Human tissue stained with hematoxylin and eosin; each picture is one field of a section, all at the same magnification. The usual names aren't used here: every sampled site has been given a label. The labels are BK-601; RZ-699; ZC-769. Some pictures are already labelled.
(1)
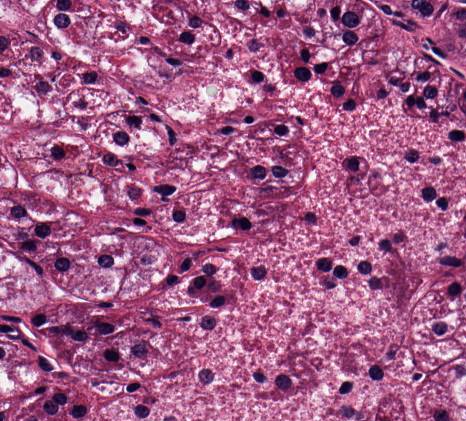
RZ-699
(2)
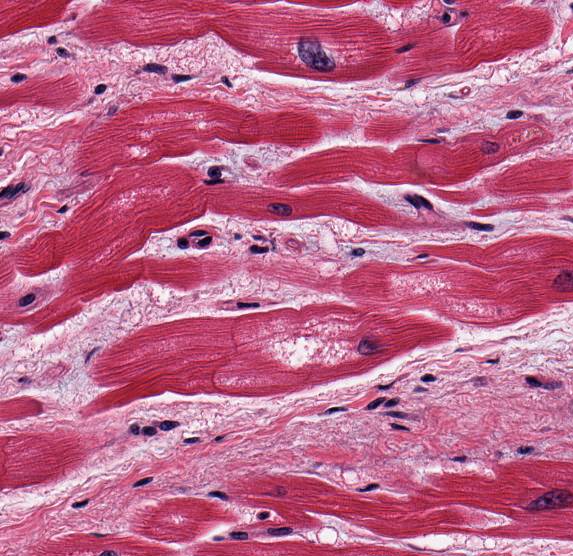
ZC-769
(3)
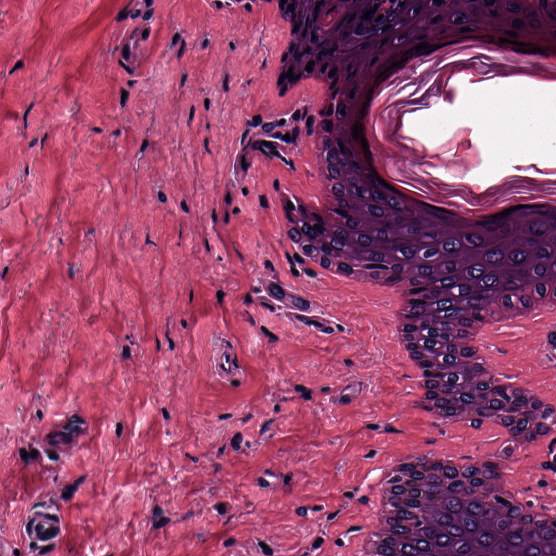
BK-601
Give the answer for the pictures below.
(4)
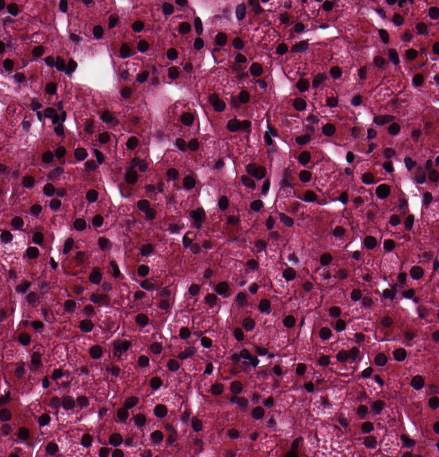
RZ-699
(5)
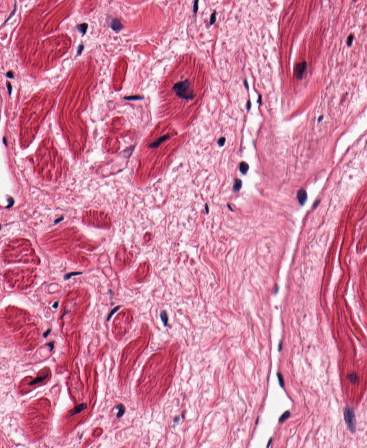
ZC-769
